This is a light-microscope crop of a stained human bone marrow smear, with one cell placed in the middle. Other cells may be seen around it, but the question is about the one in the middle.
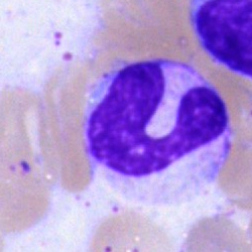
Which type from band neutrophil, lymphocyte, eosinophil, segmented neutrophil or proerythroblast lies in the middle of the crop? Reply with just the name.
band neutrophil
